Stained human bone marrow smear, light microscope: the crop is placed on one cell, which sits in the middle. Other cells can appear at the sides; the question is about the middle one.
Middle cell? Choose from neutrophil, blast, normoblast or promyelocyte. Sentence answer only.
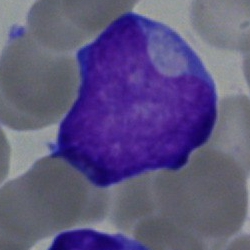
The cell occupying the middle of the crop is a blast.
